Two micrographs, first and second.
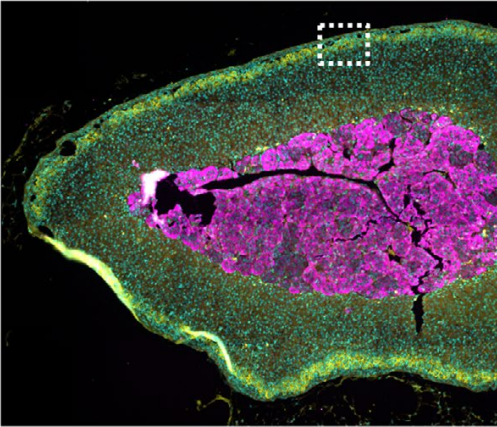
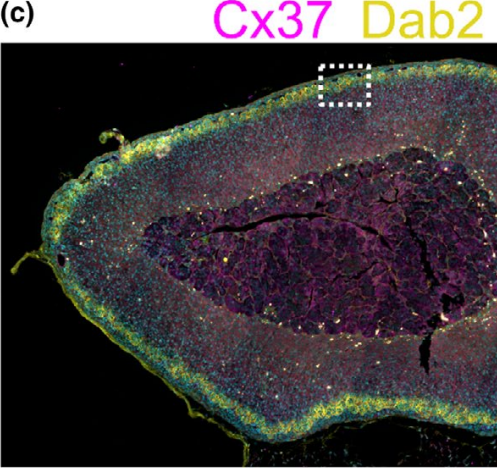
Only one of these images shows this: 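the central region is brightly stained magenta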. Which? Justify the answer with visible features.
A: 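Second image: the central region is dark, with only faint magenta. First image: the central region is densely bright magenta.
Hence: the first image.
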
